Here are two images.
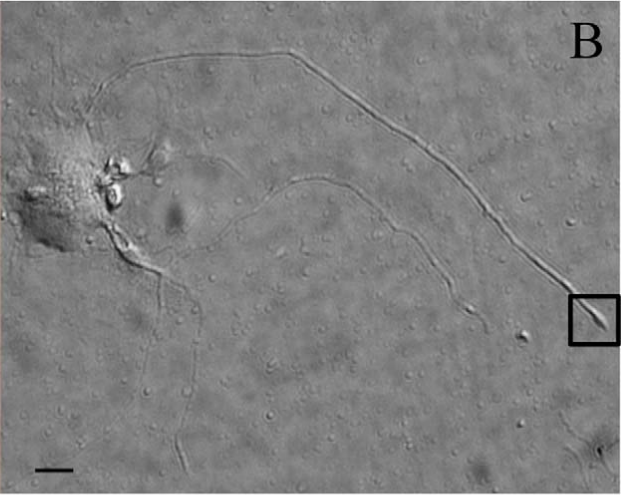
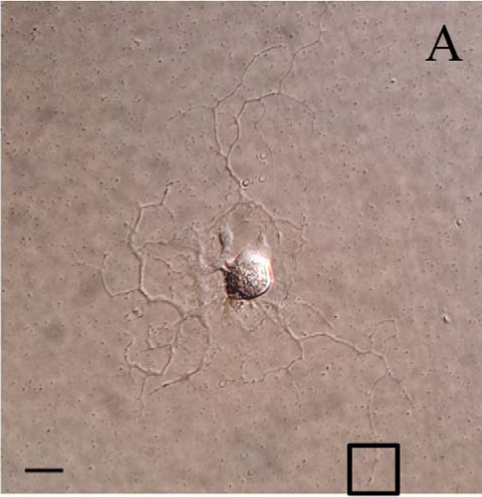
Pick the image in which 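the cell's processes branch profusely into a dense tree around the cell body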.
The second image.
